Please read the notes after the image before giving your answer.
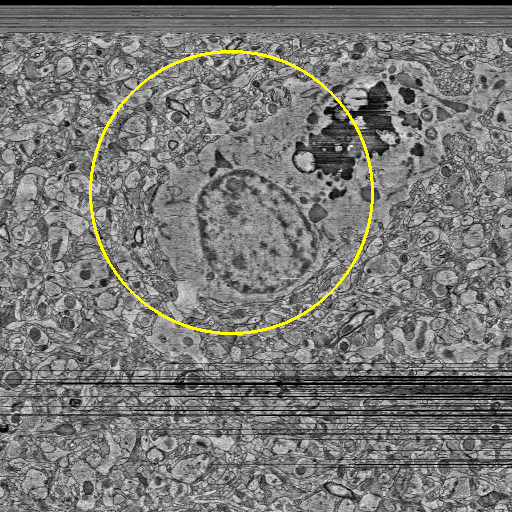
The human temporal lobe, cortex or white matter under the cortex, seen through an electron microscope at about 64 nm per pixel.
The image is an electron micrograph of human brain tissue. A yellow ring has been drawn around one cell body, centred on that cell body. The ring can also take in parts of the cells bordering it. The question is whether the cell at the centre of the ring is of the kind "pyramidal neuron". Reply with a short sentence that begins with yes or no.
No, the cell at the centre is of another kind.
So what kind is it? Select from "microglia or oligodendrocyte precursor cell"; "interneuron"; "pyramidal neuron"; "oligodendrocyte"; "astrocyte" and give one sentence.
So the cell at the centre is an astrocyte.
